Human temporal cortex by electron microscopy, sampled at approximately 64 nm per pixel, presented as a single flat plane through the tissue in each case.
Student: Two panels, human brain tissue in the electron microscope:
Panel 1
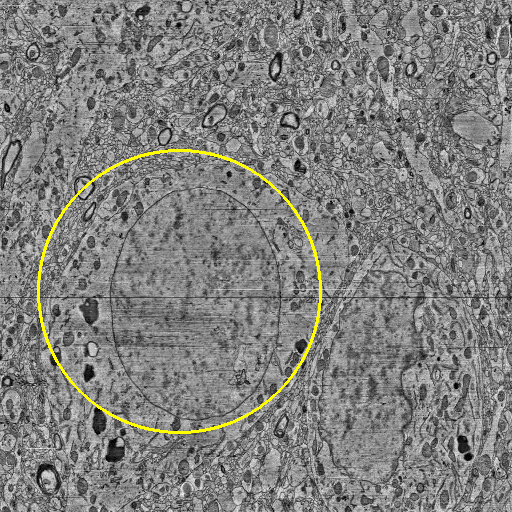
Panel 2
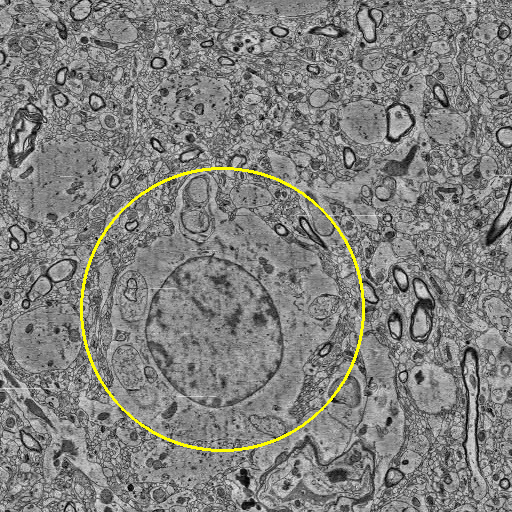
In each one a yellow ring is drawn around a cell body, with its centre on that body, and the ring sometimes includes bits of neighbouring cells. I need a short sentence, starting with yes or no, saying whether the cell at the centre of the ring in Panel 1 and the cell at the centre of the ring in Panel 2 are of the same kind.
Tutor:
No, they are two kinds of cell.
